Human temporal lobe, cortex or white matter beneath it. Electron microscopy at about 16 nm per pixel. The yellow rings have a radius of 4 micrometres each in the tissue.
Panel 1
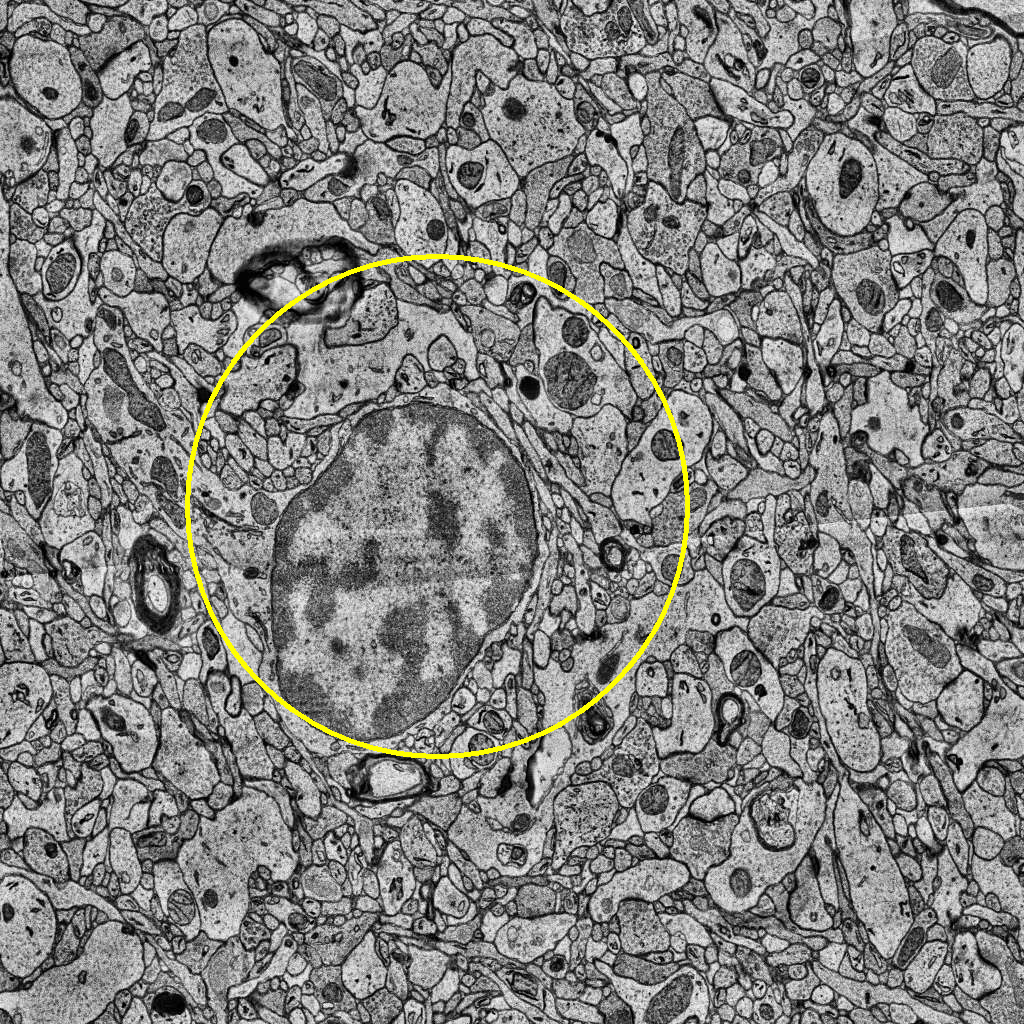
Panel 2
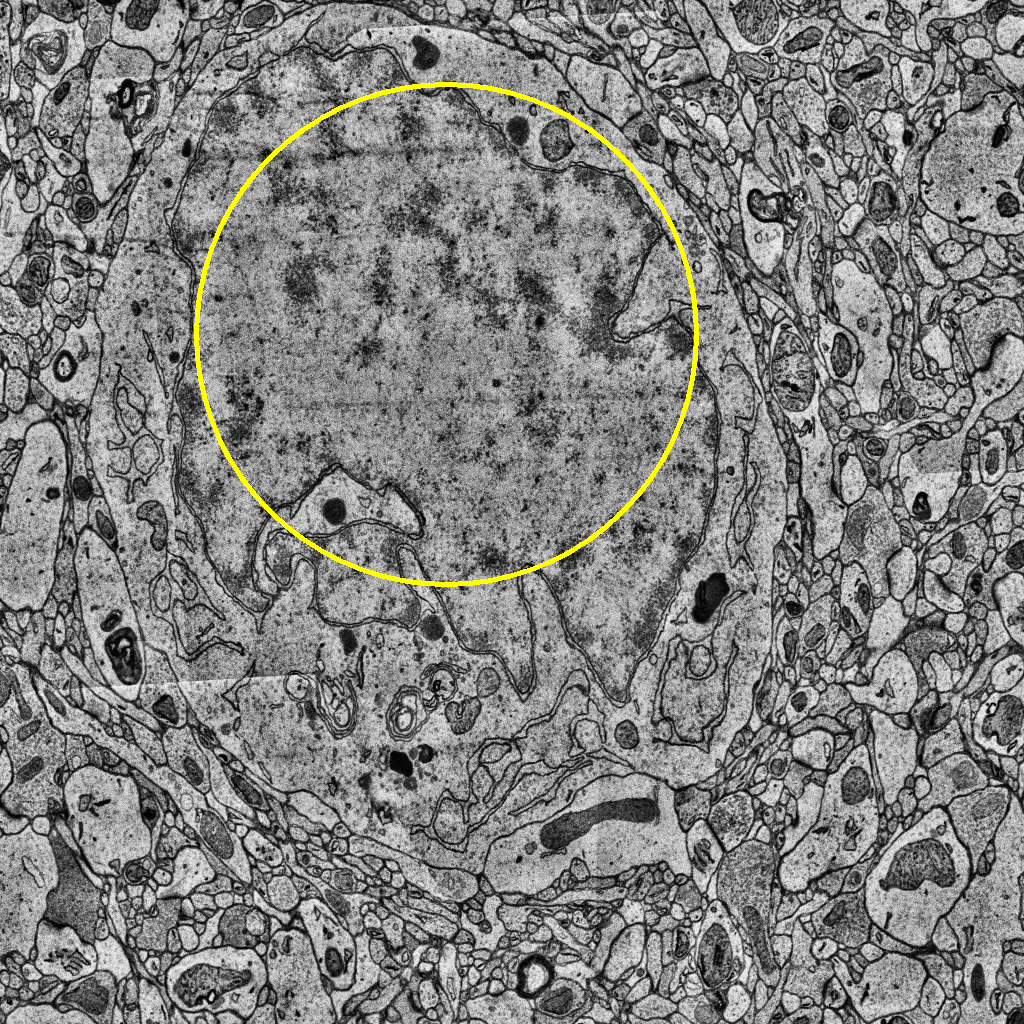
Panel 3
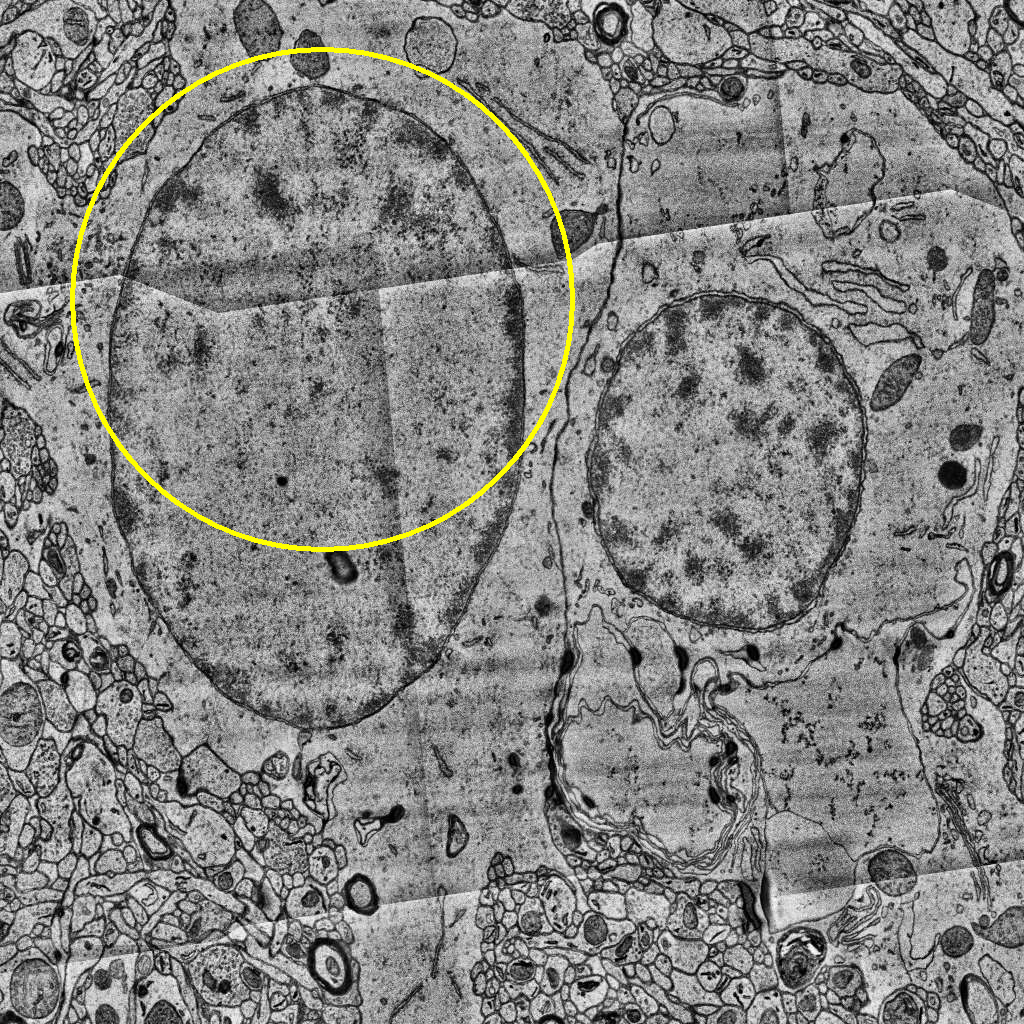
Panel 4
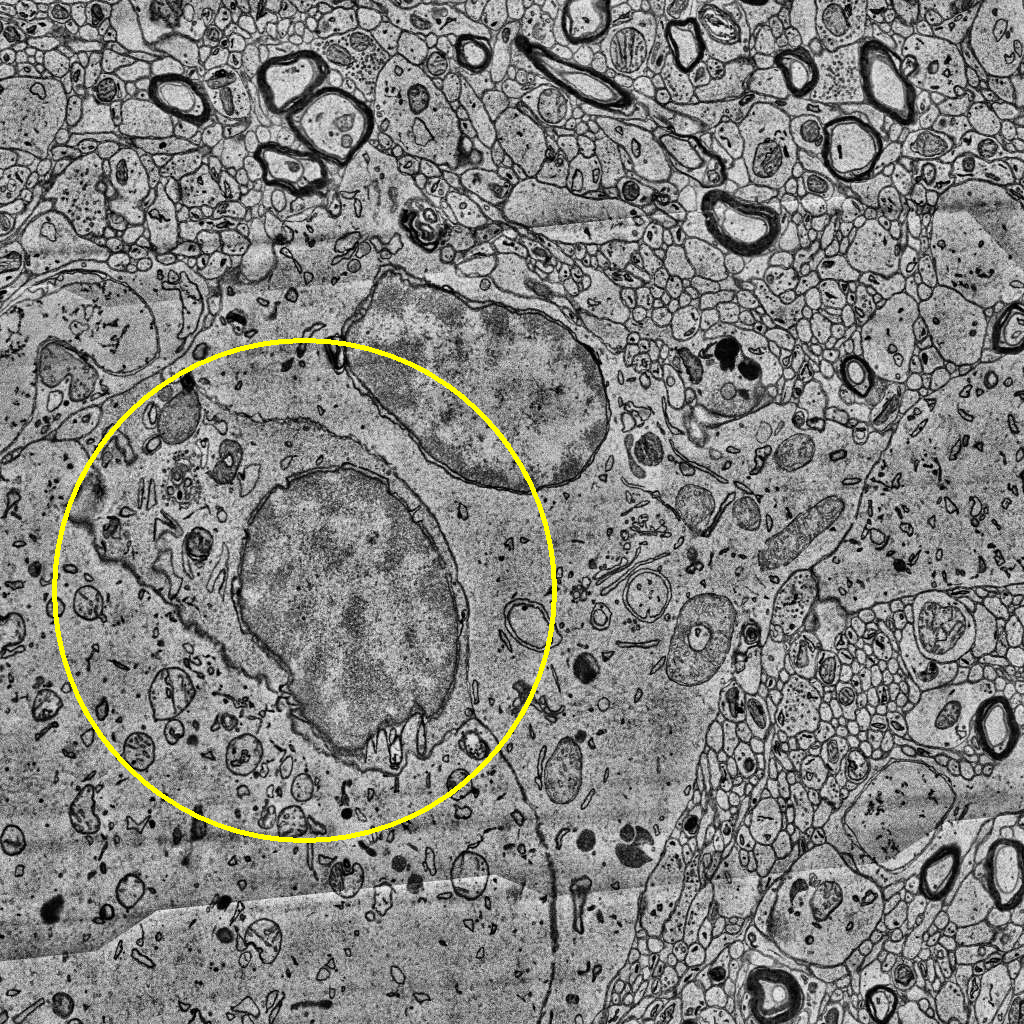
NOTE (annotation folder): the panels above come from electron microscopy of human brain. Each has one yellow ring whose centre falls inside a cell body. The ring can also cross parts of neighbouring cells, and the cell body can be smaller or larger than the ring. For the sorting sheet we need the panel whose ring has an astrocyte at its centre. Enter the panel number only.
3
